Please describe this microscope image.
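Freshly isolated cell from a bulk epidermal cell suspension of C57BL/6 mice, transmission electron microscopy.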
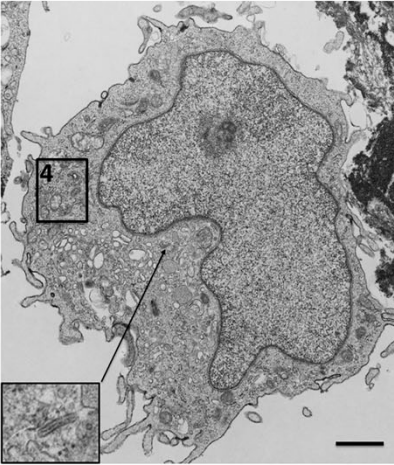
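A single Langerhans cell with a large, lobed, deeply indented nucleus with finely dispersed pale chromatin and a small nucleolus. The rim of cytoplasm holds numerous small vesicles and mitochondria, and short processes project from the surface. An inset enlarges a rod-shaped Birbeck granule in the cytoplasm.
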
